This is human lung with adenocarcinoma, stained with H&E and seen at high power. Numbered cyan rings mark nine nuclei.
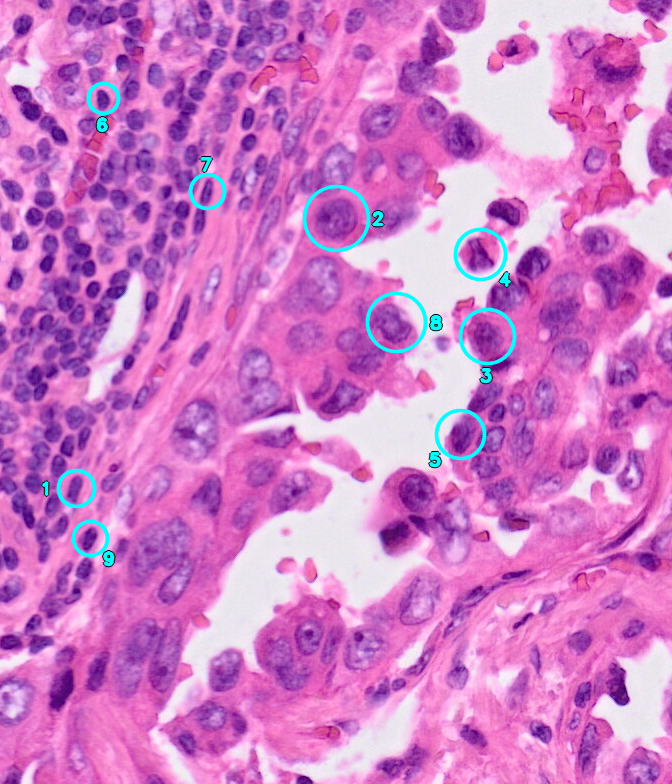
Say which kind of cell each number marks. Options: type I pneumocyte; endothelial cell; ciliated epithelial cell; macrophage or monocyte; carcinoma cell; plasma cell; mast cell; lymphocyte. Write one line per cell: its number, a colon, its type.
1: lymphocyte
2: carcinoma cell
3: carcinoma cell
4: carcinoma cell
5: carcinoma cell
6: lymphocyte
7: lymphocyte
8: carcinoma cell
9: lymphocyte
